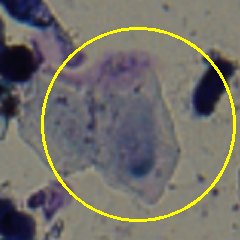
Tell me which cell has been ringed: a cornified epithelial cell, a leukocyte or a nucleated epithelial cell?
It is a cornified epithelial cell.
